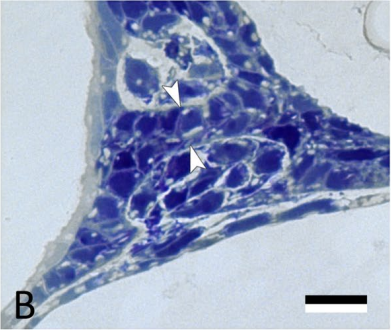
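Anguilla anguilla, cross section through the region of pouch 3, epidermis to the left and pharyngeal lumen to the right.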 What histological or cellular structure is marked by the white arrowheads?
A double layer of cuboidal endodermal cells.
